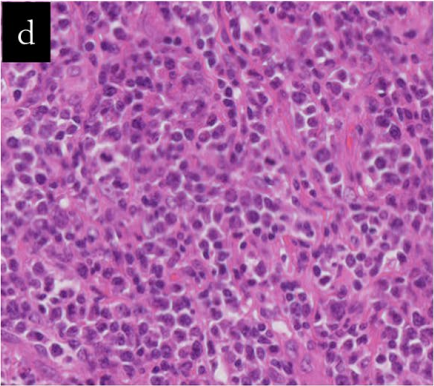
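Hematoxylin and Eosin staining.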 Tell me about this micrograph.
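Homogeneous proliferation of closely packed, discohesive-looking round to oval cells in diffuse sheets. Nuclei are round and hyperchromatic and take up most of each cell, giving a high nucleus-to-cytoplasm ratio. Cytoplasm is scant and pale to lightly eosinophilic, with some nuclei sitting eccentrically. Thin pink fibrous strands run between groups of cells.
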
